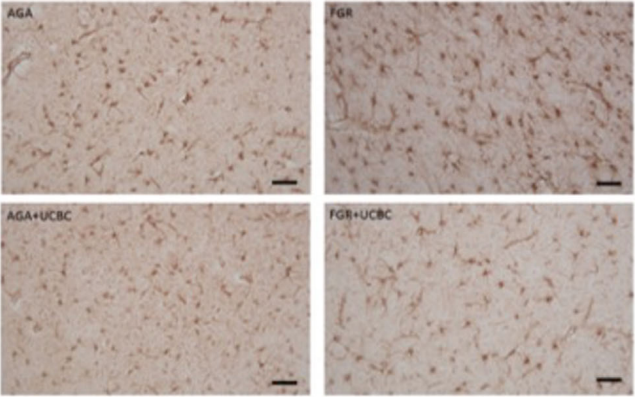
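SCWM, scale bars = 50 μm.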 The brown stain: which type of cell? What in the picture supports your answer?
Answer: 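Brown-stained cells with small dark bodies. Several fine processes radiate from each cell body in a star-like pattern. Cells are scattered fairly evenly through a pale background. So: astrocytes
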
